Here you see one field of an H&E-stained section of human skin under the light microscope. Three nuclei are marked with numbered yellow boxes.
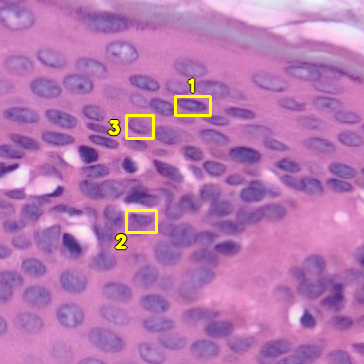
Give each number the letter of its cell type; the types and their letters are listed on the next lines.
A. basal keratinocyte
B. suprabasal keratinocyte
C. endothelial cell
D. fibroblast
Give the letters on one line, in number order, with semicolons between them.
B; A; A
